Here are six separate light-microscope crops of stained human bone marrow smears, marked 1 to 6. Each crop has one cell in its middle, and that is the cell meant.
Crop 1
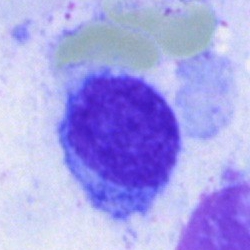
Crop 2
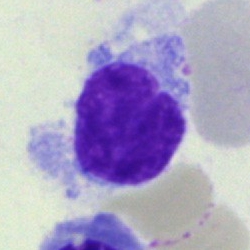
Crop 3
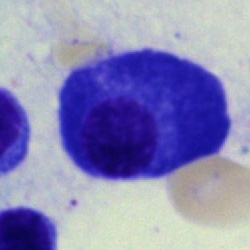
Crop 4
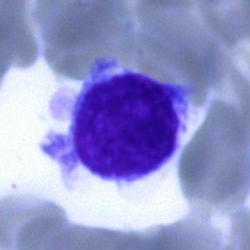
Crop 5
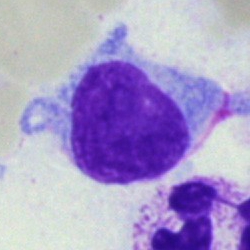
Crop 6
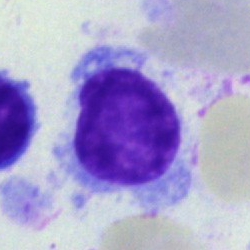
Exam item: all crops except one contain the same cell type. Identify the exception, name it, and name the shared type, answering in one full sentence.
The single exception is crop 3, which is a plasma cell; all other crops show hairy cells.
